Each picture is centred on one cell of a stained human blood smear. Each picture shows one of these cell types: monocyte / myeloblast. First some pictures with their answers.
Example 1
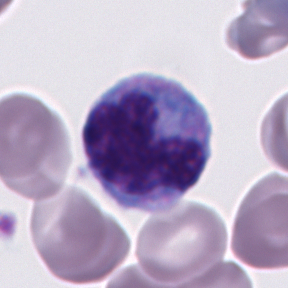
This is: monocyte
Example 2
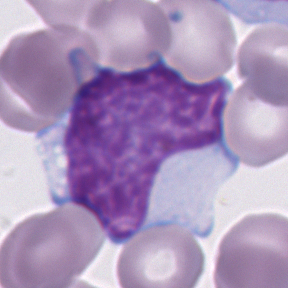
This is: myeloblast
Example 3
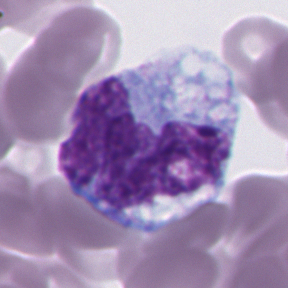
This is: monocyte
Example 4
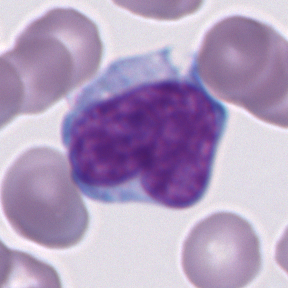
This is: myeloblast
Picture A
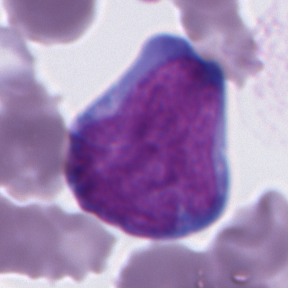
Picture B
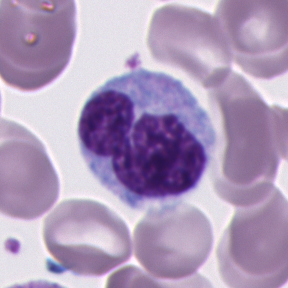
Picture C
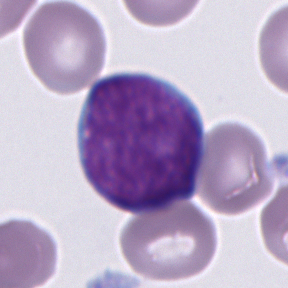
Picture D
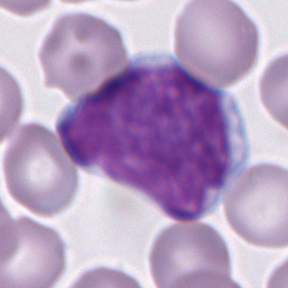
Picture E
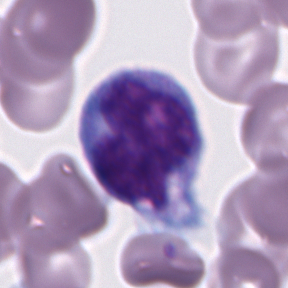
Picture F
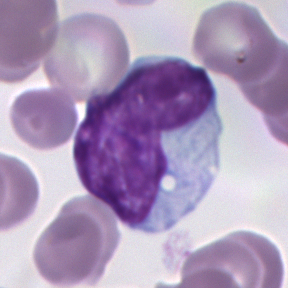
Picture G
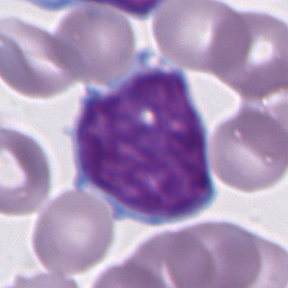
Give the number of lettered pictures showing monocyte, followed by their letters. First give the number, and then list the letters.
Count: 2 (B, E)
